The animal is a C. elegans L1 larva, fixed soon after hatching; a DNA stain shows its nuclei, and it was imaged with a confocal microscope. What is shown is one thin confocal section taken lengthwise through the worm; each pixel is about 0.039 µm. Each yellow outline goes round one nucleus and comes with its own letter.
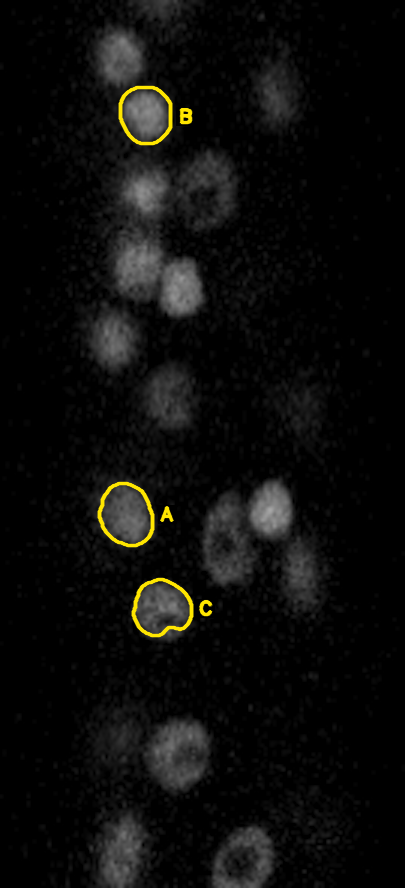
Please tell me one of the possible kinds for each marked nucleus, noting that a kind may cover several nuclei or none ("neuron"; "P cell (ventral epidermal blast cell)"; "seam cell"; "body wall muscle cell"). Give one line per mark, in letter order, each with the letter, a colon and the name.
A: body wall muscle cell
B: neuron
C: P cell (ventral epidermal blast cell)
